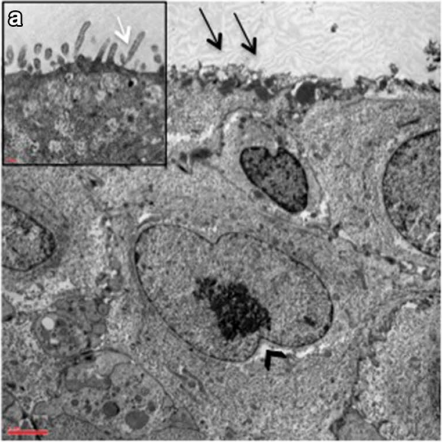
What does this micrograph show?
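Along that surface the cells bear short, irregular projections, and the inset at higher magnification shows slender finger-like microvilli standing up from the apical membrane. Below the surface lie the cell bodies: one large oval nucleus with finely granular chromatin and a prominent dense, clumped nucleolus, a smaller dark, indented nucleus near the surface, and parts of further nuclei at the edges. The cytoplasm is granular and contains scattered round dense bodies and vesicles, especially toward the lower left.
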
